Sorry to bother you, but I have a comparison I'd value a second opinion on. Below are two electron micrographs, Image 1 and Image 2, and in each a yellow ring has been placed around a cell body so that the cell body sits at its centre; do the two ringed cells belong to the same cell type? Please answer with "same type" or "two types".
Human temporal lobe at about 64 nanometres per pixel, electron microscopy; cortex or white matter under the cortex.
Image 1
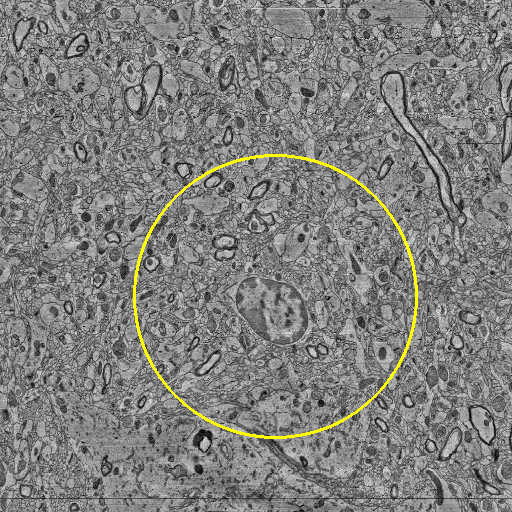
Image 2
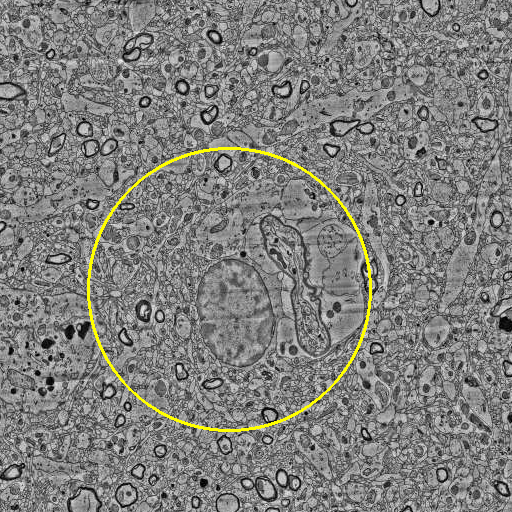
two types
